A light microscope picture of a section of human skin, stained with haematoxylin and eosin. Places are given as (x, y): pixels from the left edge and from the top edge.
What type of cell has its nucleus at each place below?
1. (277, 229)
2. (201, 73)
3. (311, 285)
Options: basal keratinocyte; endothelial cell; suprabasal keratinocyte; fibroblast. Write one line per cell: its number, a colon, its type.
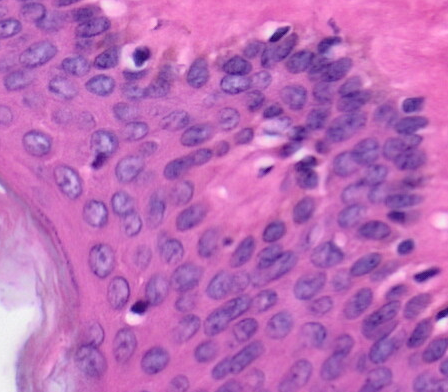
1: basal keratinocyte
2: basal keratinocyte
3: suprabasal keratinocyte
